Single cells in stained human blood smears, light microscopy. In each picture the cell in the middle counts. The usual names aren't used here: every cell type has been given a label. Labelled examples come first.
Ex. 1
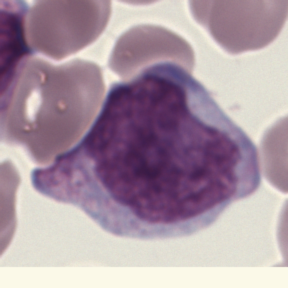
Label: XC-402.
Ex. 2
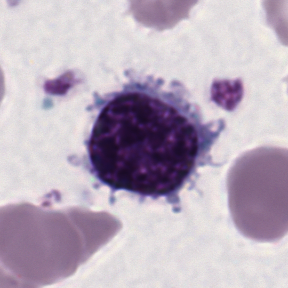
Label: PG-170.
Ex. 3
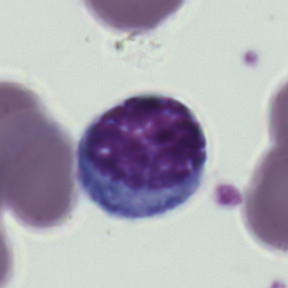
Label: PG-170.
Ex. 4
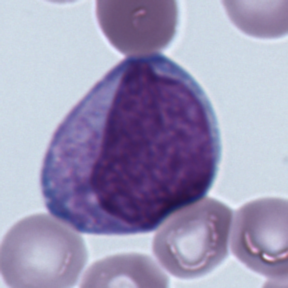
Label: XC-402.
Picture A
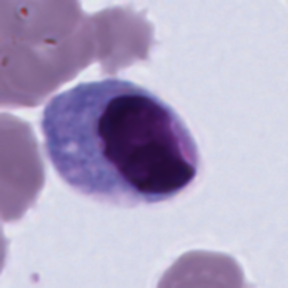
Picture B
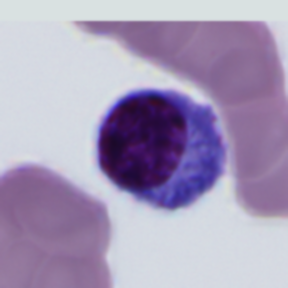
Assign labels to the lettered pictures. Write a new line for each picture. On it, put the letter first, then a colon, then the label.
A: PG-170.
B: PG-170.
